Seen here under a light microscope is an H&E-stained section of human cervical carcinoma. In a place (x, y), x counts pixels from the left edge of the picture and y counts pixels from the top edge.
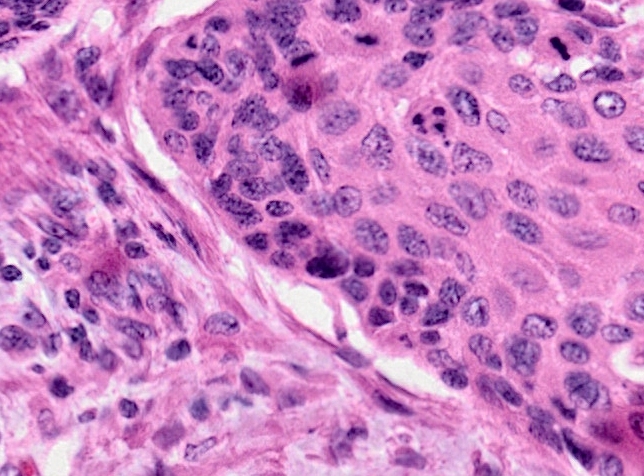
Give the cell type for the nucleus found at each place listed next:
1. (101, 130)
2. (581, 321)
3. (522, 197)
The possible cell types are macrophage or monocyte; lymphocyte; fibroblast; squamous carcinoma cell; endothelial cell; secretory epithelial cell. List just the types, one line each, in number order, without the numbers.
fibroblast
squamous carcinoma cell
squamous carcinoma cell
